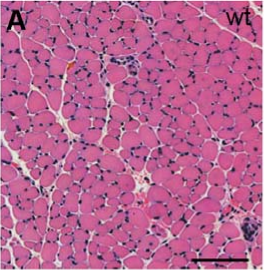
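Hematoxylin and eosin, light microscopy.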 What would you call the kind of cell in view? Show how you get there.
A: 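Myofibers. Closely packed polygonal pink profiles of similar size fill the field. Dark purple nuclei sit at the edges of the pink profiles. The profiles are grouped into bundles separated by thin pale spaces.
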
